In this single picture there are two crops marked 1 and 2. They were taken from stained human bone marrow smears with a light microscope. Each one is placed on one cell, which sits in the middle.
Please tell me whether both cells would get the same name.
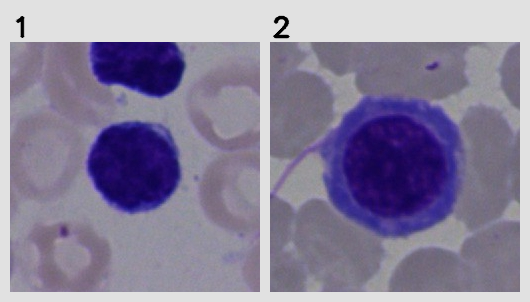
no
